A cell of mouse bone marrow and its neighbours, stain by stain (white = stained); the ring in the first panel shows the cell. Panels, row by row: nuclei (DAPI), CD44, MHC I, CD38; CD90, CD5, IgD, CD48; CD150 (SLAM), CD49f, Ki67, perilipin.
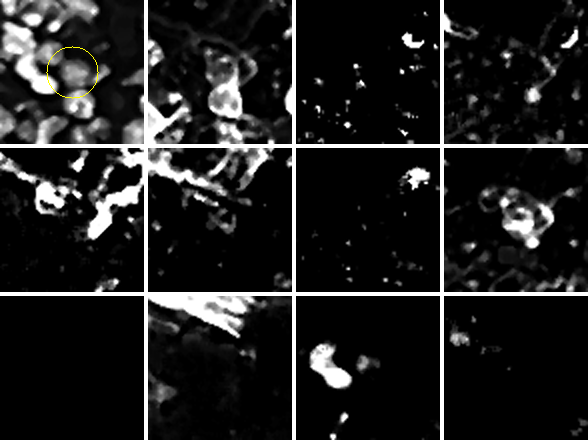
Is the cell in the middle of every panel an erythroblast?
No, it is a monocyte.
